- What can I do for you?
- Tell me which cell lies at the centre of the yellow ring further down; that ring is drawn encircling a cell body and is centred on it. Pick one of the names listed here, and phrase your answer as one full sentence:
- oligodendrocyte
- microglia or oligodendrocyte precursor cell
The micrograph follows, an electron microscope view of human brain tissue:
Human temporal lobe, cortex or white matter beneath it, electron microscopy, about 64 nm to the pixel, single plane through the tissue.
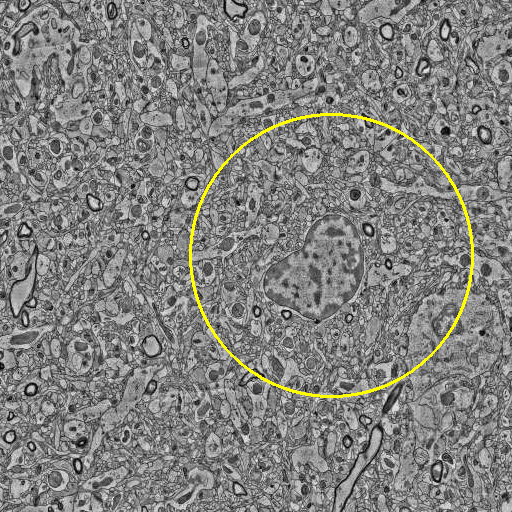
The cell whose body lies at the centre of the yellow ring is a microglial cell or oligodendrocyte precursor cell.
